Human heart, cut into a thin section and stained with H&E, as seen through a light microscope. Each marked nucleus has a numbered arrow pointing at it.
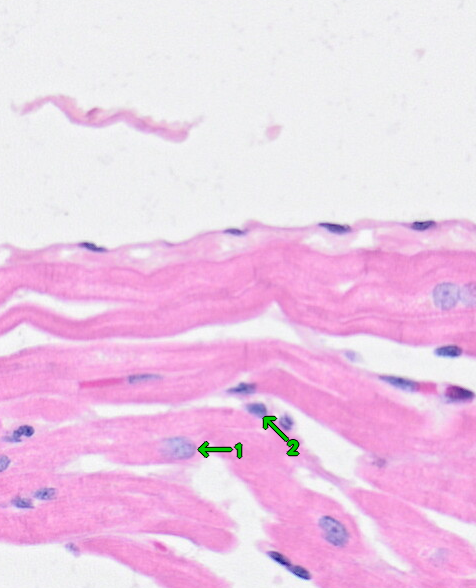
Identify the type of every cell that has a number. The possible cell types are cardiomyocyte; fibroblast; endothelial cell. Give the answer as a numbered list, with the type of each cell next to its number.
1. cardiomyocyte
2. fibroblast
